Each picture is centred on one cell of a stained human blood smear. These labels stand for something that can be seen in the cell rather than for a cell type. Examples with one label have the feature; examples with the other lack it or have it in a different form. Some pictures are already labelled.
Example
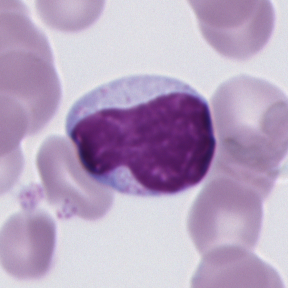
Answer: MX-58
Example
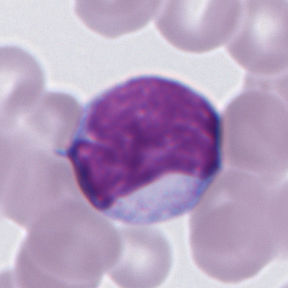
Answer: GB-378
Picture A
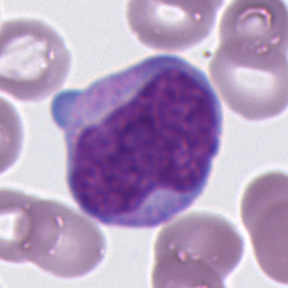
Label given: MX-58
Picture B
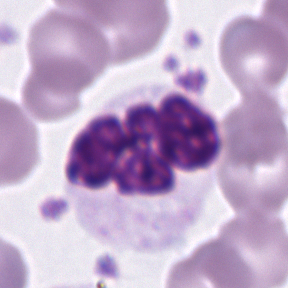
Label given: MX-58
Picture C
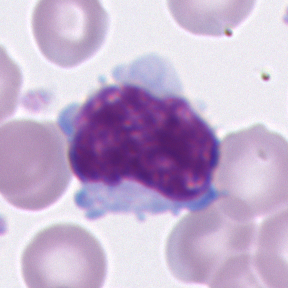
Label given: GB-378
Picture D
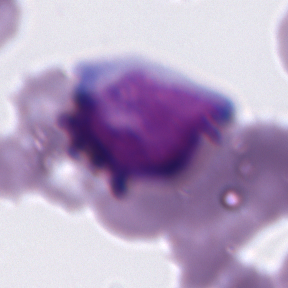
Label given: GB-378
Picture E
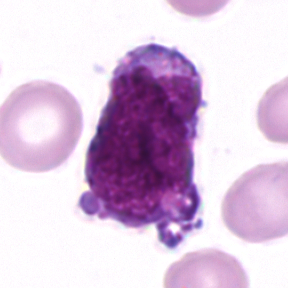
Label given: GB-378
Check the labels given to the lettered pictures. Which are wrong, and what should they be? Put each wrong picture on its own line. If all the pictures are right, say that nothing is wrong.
A is labelled MX-58; correct label: GB-378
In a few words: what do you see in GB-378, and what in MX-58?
GB-378, ragged outline or projections; MX-58, smooth outline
